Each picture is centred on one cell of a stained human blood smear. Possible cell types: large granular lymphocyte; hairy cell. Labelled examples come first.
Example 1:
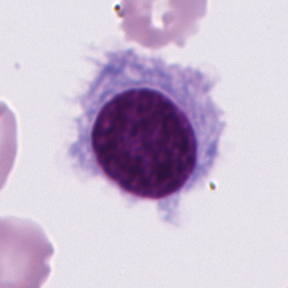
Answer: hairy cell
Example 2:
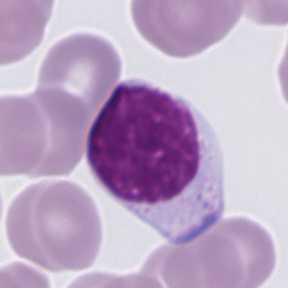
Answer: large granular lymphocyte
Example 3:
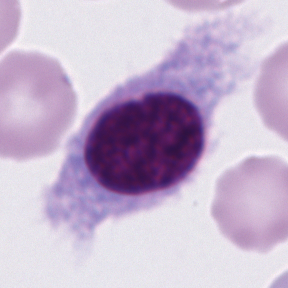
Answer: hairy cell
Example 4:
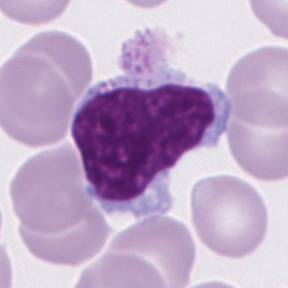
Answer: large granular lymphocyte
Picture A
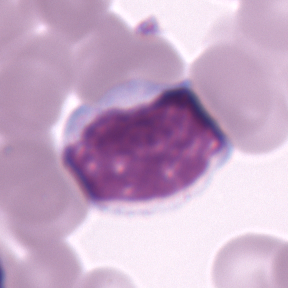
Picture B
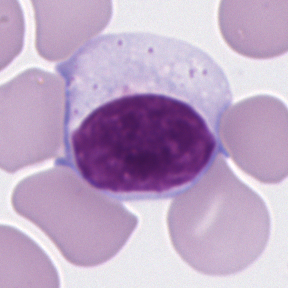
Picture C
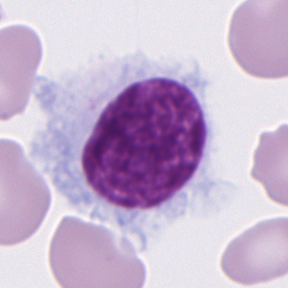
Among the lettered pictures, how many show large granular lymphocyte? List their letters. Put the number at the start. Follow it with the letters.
Count: 2 (A, B)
